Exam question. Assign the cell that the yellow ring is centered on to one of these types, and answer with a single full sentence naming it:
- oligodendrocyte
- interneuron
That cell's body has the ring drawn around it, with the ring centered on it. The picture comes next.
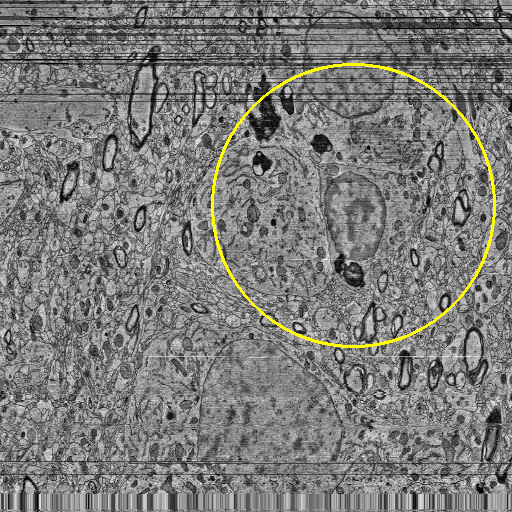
In the micrograph, the cell the yellow ring is centered on is an oligodendrocyte.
